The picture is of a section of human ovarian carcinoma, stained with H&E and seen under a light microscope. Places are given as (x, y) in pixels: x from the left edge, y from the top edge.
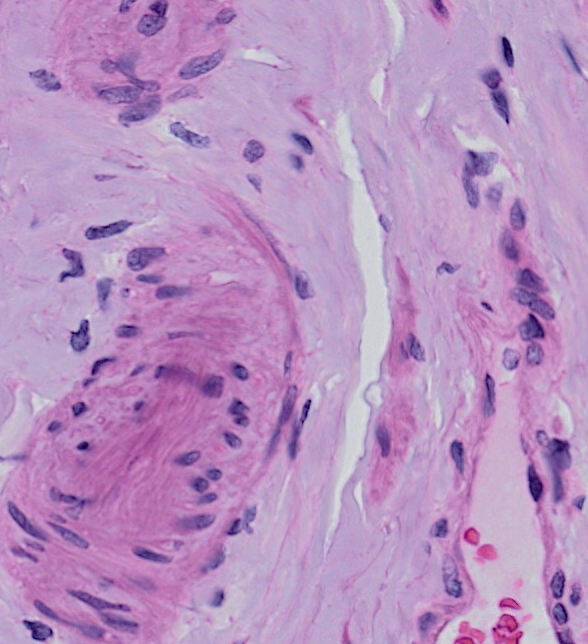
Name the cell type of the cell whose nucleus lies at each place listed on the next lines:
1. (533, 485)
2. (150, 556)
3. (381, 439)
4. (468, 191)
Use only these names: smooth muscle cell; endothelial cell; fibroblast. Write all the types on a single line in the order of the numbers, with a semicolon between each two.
endothelial cell; smooth muscle cell; smooth muscle cell; fibroblast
